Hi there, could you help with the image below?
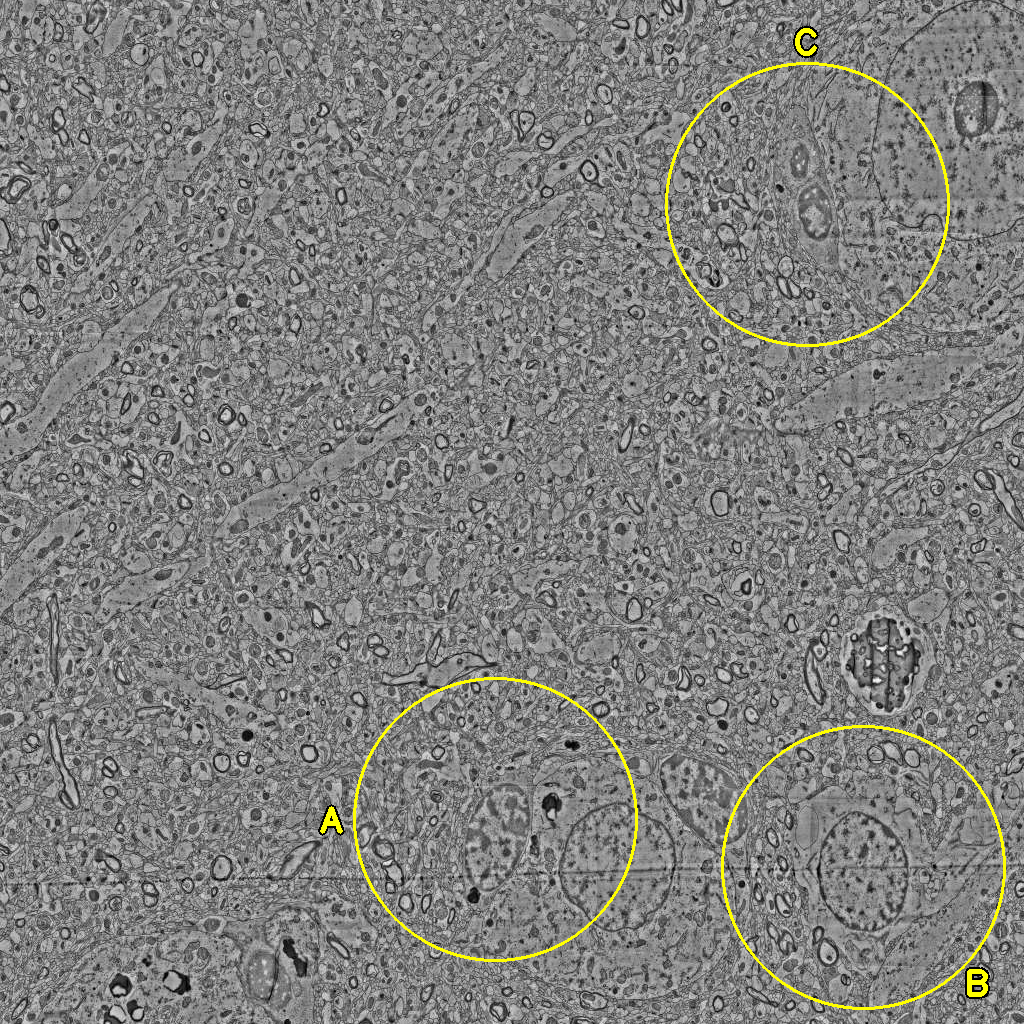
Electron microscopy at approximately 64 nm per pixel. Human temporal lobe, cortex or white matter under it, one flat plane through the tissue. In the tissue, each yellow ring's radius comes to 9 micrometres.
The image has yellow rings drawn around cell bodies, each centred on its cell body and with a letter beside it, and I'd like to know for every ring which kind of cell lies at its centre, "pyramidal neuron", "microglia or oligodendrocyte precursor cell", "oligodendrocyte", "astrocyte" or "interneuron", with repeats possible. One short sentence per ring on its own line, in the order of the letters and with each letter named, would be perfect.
Ring A is placed around an oligodendrocyte.
Ring B is placed around an astrocyte.
Ring C is placed around an oligodendrocyte.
